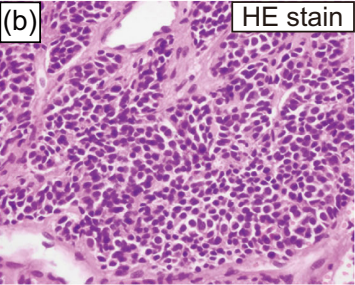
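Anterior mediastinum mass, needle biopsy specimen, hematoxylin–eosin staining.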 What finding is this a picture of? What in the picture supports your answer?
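The cells are densely packed and look much alike in size and shape. Nuclei are small, round to oval and dark, without marked variation in size. No bizarre or giant nuclei are present.
Answer: relatively homogeneous cells with weak atypia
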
